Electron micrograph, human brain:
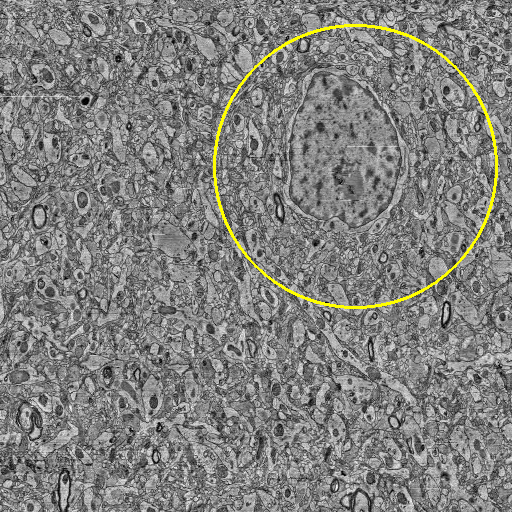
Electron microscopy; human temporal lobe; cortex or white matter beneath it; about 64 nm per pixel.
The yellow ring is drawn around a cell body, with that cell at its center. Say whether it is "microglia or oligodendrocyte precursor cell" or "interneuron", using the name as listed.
microglia or oligodendrocyte precursor cell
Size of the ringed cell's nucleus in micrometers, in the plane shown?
The nucleus appears roughly 10 by 8 micrometres in this plane.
